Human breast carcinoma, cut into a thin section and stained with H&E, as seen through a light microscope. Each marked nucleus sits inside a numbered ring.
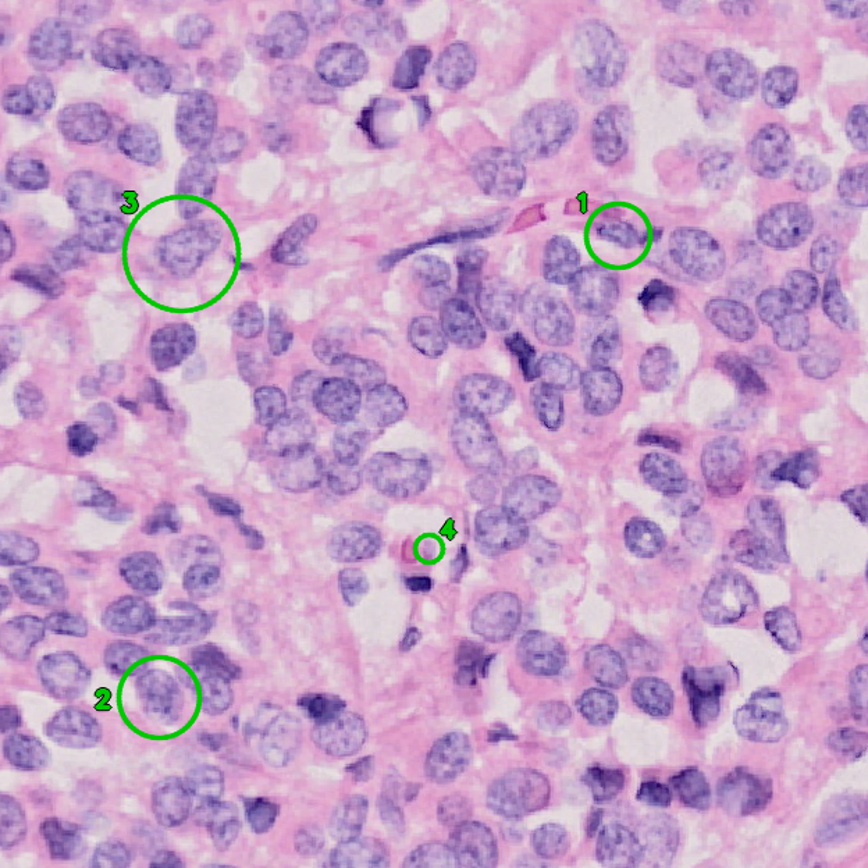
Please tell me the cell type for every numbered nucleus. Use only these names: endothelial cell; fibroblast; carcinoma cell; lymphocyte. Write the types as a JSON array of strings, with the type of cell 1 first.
["endothelial cell", "carcinoma cell", "carcinoma cell", "endothelial cell"]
